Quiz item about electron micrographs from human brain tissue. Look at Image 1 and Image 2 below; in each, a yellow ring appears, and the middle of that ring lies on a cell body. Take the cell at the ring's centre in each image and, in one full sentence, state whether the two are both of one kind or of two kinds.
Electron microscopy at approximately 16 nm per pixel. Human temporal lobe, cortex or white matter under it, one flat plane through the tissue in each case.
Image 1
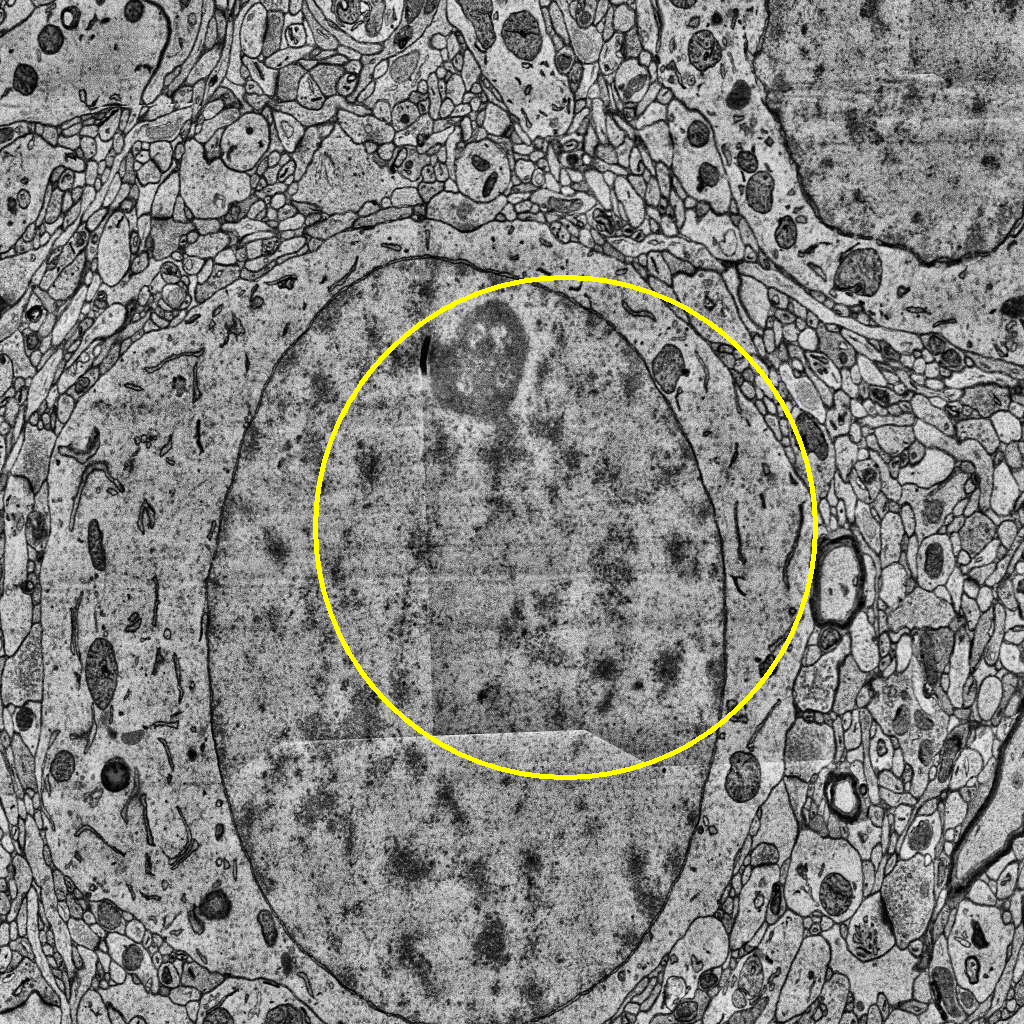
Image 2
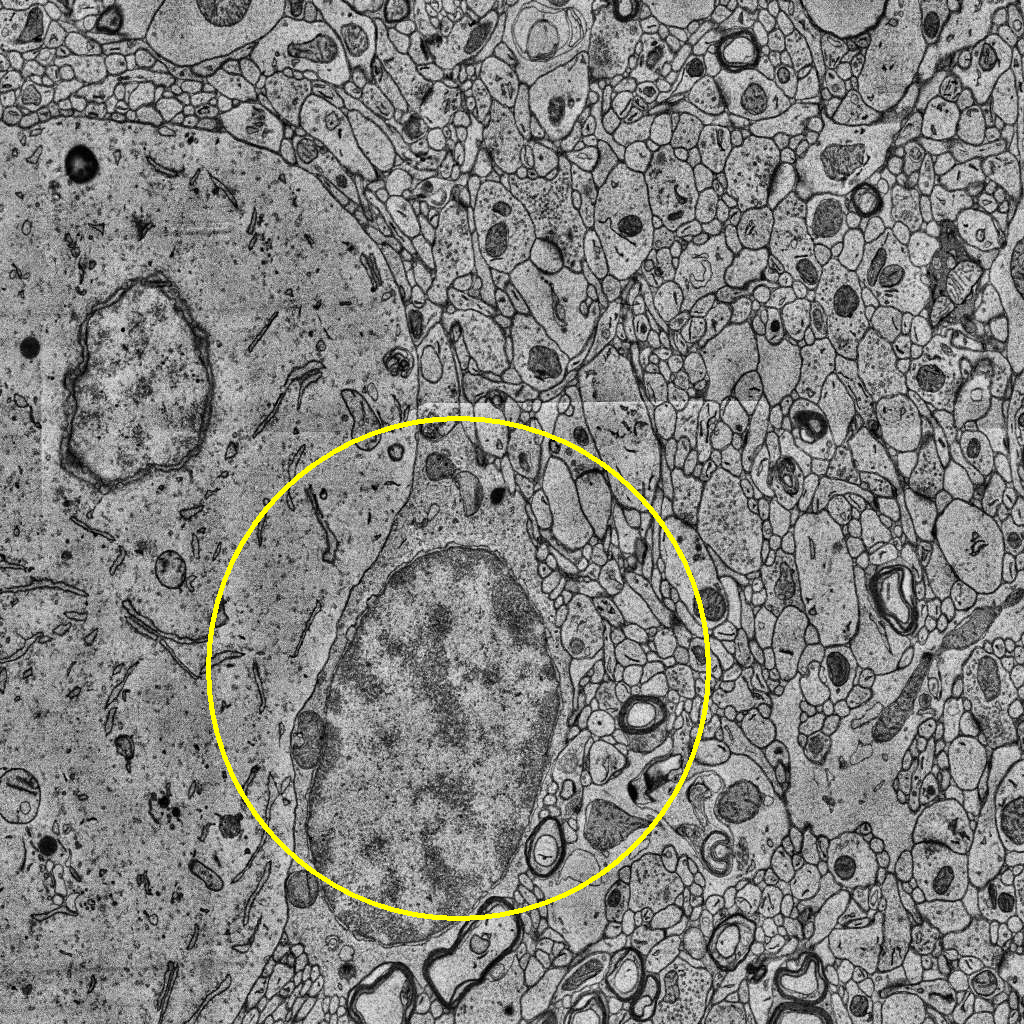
In Image 1 and Image 2, the cells at the ring centres are of two kinds.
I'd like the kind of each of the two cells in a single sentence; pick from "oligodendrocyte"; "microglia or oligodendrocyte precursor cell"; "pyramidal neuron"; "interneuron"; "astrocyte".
The first picture has a pyramidal neuron at its ring centre, and the second has an oligodendrocyte.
